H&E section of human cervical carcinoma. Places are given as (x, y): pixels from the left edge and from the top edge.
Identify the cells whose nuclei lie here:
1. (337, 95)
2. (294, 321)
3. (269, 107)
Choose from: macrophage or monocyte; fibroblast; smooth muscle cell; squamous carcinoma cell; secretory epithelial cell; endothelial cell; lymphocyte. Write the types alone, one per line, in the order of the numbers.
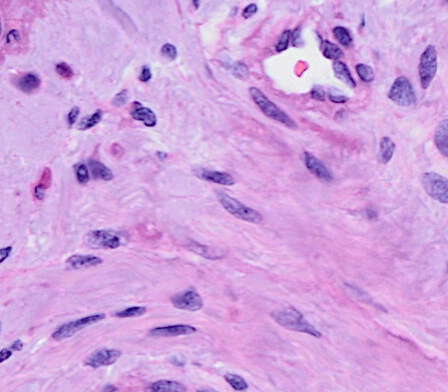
endothelial cell
fibroblast
smooth muscle cell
